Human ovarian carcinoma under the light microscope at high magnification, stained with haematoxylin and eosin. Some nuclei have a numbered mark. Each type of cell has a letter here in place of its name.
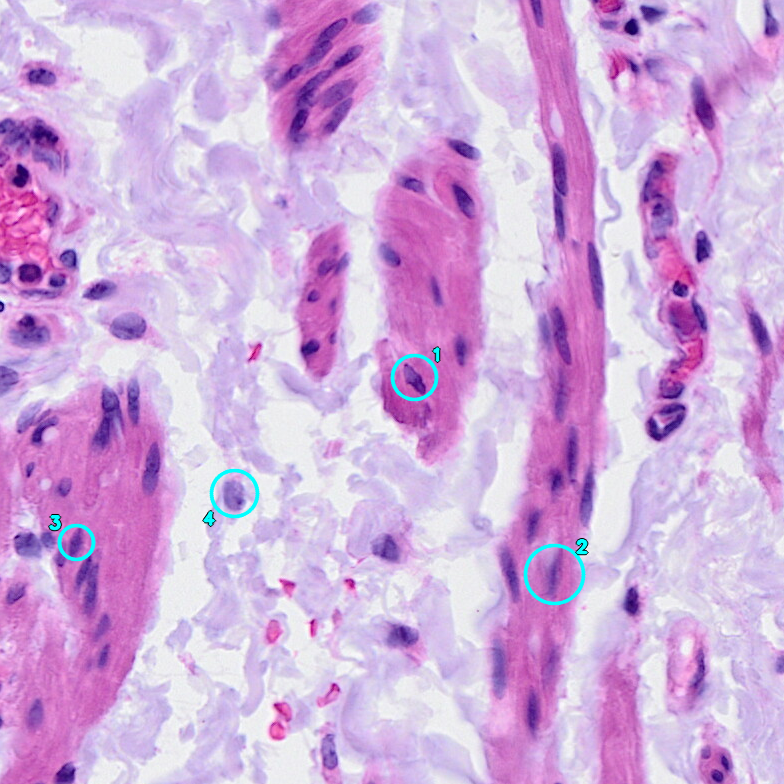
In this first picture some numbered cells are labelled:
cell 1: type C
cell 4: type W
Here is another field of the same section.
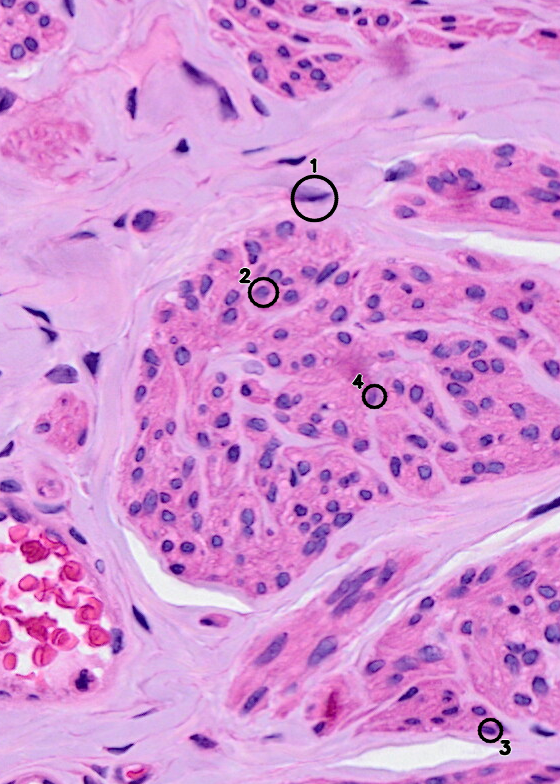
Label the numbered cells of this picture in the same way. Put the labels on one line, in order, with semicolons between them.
type W; type C; type C; type C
